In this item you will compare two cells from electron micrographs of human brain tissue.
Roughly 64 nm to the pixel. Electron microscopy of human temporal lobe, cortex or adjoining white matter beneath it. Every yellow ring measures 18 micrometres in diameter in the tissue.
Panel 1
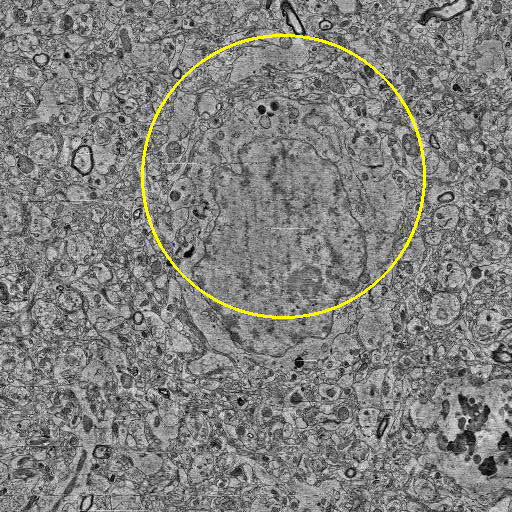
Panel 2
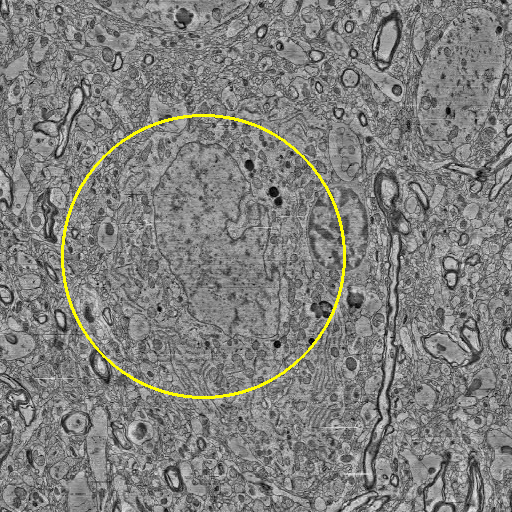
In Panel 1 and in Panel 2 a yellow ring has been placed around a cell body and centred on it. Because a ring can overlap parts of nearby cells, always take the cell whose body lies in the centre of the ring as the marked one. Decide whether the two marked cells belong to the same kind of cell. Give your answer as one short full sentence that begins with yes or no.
Yes, the two marked cells belong to the same kind of cell.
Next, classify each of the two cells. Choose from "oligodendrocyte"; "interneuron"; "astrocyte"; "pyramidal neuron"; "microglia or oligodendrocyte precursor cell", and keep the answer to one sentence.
Each of the two pictures has an interneuron at the ring centre.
